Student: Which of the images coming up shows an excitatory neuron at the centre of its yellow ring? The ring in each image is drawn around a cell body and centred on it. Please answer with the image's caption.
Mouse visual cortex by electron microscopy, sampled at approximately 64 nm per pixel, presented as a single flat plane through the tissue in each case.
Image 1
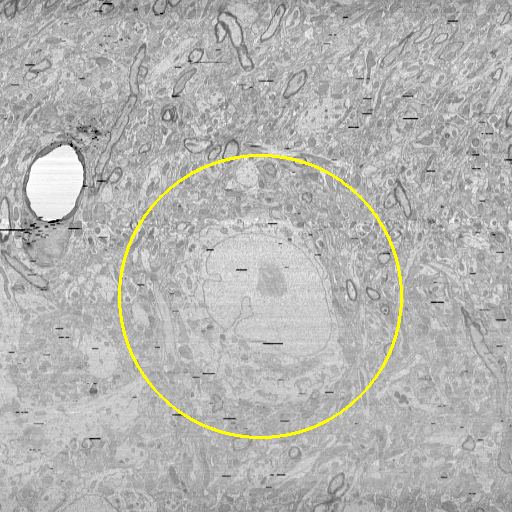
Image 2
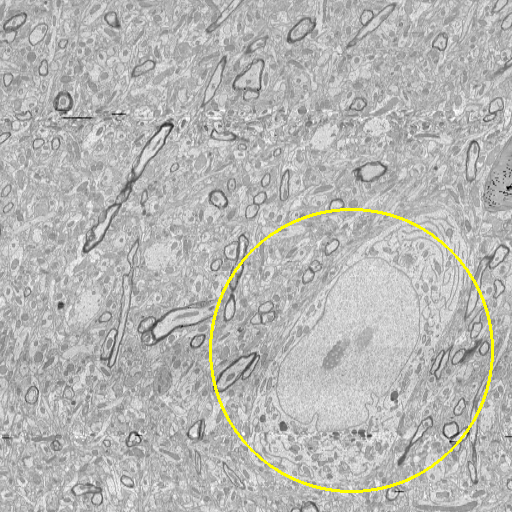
Image 1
